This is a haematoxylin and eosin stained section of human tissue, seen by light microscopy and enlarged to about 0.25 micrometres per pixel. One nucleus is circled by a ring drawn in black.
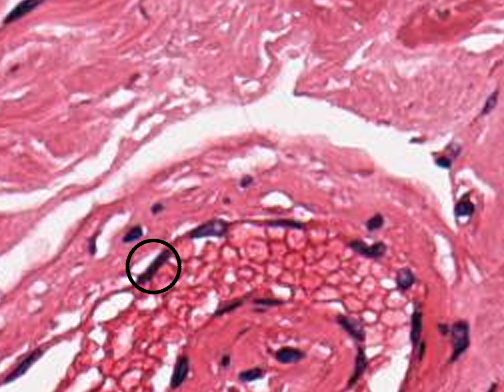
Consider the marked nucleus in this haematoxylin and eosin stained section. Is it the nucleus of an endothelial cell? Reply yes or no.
yes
